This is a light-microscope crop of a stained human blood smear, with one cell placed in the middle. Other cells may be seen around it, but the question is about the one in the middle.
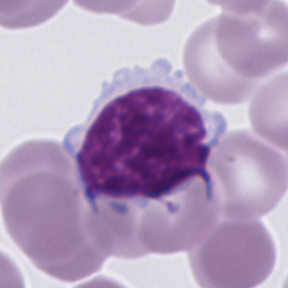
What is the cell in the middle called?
large granular lymphocyte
